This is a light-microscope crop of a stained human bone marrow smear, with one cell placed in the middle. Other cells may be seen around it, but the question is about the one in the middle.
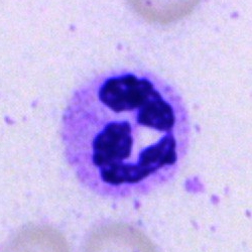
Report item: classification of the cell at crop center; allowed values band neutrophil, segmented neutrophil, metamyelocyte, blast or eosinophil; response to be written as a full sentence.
The cell at the middle of the frame should be recorded as a segmented neutrophil.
